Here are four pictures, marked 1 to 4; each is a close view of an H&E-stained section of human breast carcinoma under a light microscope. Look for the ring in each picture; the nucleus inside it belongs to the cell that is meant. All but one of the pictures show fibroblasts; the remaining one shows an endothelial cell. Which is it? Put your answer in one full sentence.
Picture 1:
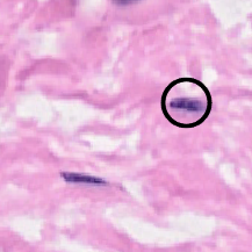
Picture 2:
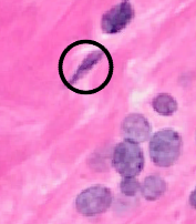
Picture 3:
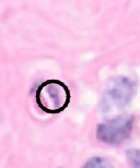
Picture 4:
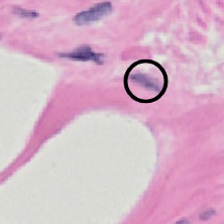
The cell in picture 3 is the endothelial cell.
